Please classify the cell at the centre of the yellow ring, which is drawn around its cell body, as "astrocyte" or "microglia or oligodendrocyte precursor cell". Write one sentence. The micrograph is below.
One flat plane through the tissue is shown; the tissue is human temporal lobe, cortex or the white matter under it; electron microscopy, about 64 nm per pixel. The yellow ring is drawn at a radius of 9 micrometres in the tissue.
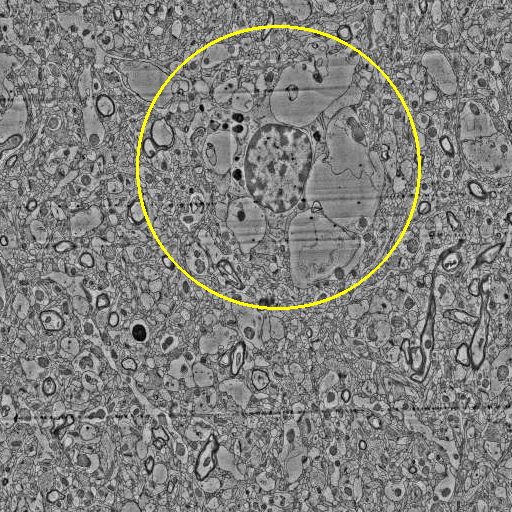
The cell at the ring's centre is classified as a microglial cell or oligodendrocyte precursor cell.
